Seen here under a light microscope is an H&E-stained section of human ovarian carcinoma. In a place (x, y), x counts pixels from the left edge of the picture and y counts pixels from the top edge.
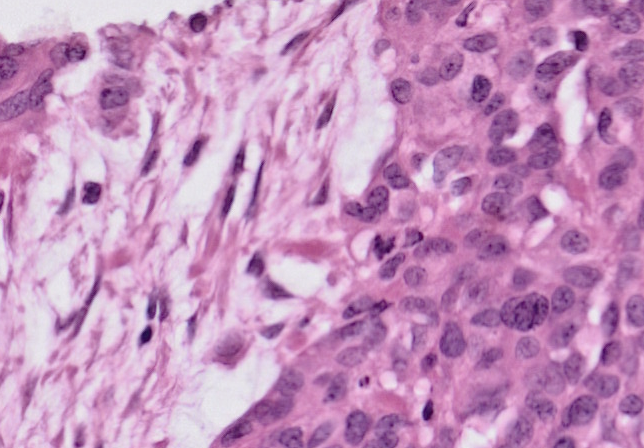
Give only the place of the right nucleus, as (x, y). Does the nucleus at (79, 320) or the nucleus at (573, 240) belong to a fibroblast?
(79, 320)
